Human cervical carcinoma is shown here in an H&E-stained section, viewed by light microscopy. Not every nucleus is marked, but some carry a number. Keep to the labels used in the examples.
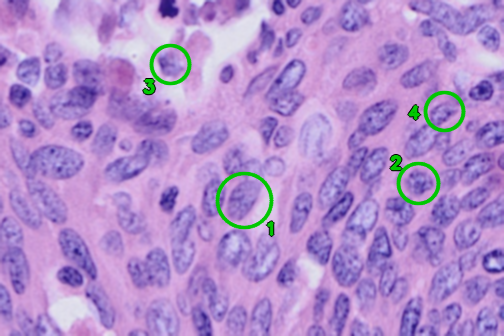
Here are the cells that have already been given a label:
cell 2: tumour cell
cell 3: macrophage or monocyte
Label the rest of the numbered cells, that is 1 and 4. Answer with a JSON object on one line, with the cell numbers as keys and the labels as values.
{"1": "tumour cell", "4": "tumour cell"}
